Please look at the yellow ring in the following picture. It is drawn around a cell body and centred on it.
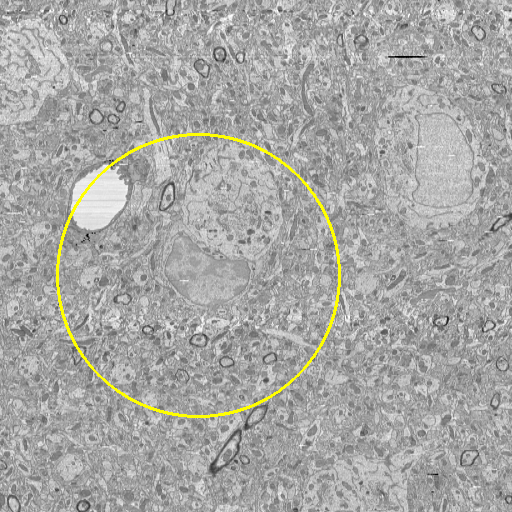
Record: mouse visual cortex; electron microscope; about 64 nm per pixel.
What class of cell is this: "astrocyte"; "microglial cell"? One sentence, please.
The ring surrounds the cell body of a microglial cell.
